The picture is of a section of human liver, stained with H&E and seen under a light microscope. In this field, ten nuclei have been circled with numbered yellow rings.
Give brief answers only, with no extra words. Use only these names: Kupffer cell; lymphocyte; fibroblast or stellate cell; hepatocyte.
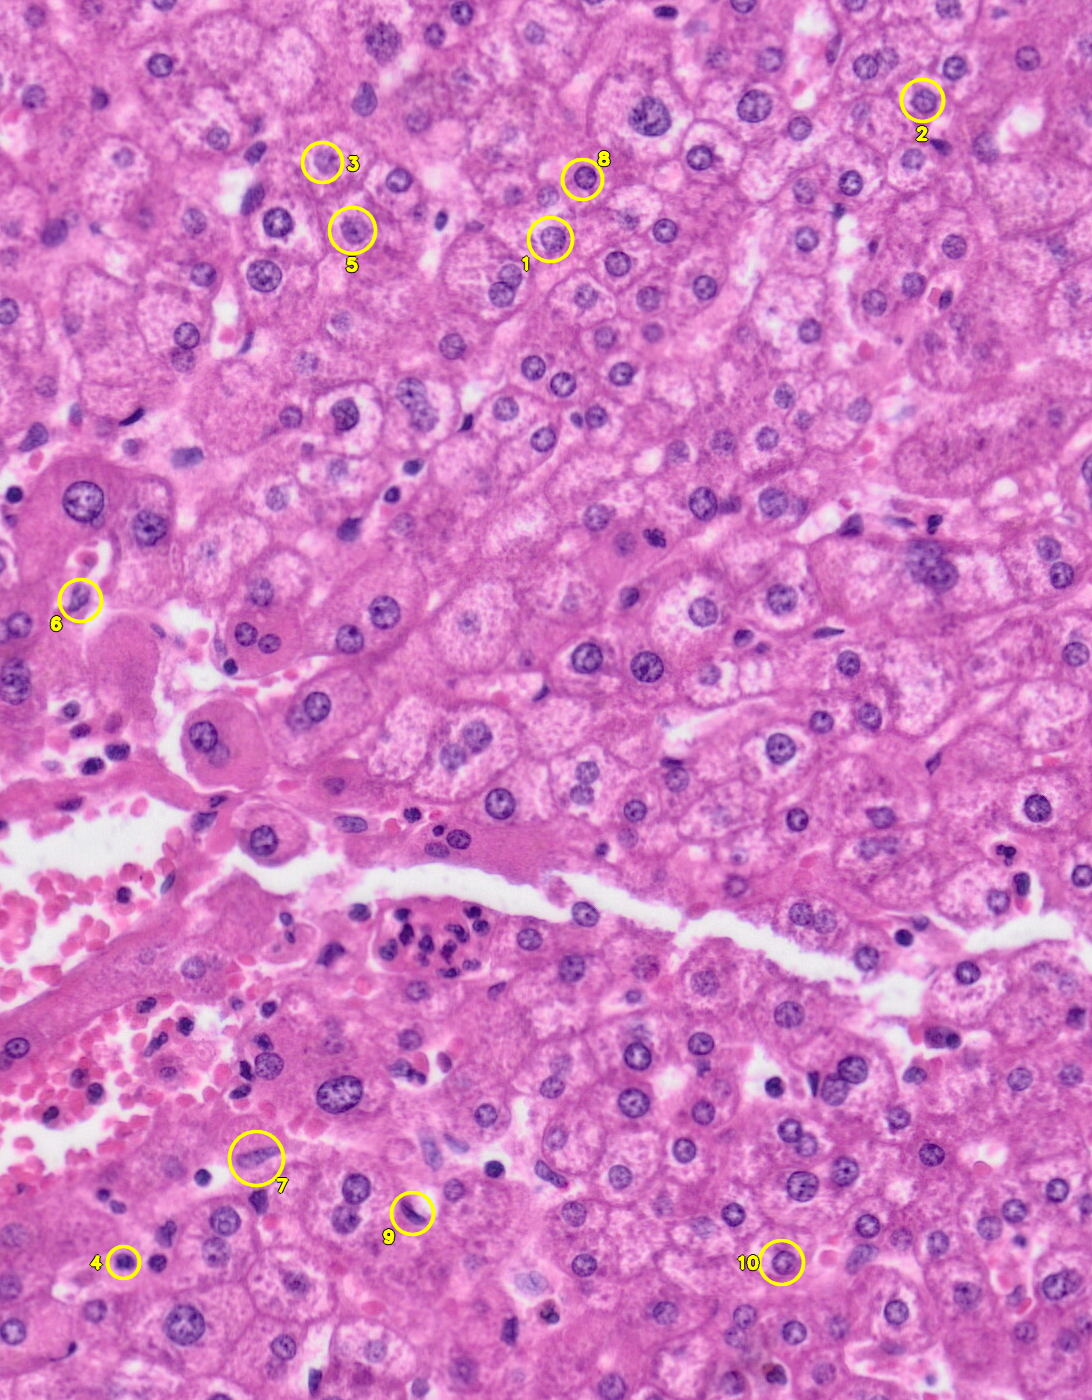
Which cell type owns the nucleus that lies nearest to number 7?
fibroblast or stellate cell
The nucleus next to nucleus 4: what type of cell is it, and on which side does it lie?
a lymphocyte to the right of nucleus 4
